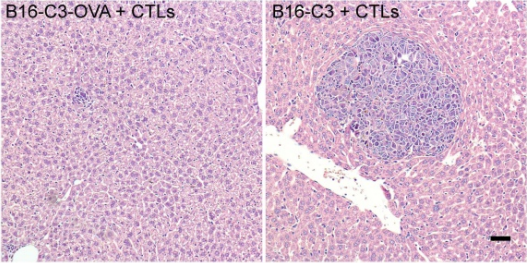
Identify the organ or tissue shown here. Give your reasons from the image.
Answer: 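Liver. Sheets of polygonal cells with pink cytoplasm and round central nuclei. Vessel lumina within the parenchyma.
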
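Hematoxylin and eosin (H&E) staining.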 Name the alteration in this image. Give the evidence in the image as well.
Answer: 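The right image has a round, sharply bounded nodule of densely packed cells. The nodule stains more purple than the surrounding pink parenchyma. On this evidence: liver metastasis.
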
